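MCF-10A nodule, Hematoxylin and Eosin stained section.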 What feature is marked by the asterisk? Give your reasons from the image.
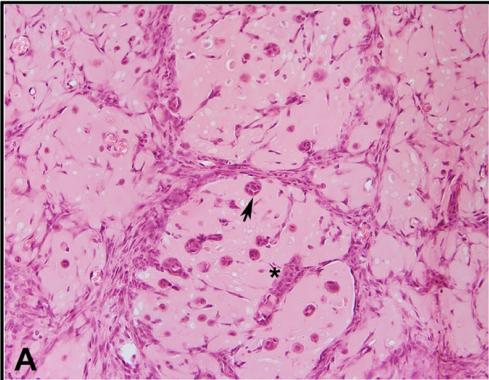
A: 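Small groups of rounded cells with dark nuclei lie in pale pink matrix. Bands of spindle cells separate the matrix into compartments. So: epithelial nests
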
